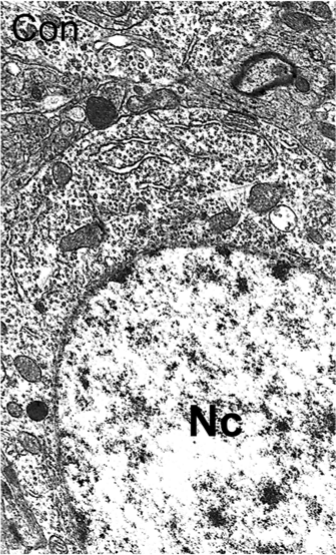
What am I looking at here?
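The nucleus is pale and round, with its chromatin finely dispersed and only a few small dark clumps scattered through it. A thin, continuous nuclear envelope separates it from the cytoplasm. The cytoplasm is crowded with small granules, membrane profiles and several oval mitochondria. At the top of the field, a dark ring-shaped profile marks a myelinated nerve fibre in the neighbouring tissue.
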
